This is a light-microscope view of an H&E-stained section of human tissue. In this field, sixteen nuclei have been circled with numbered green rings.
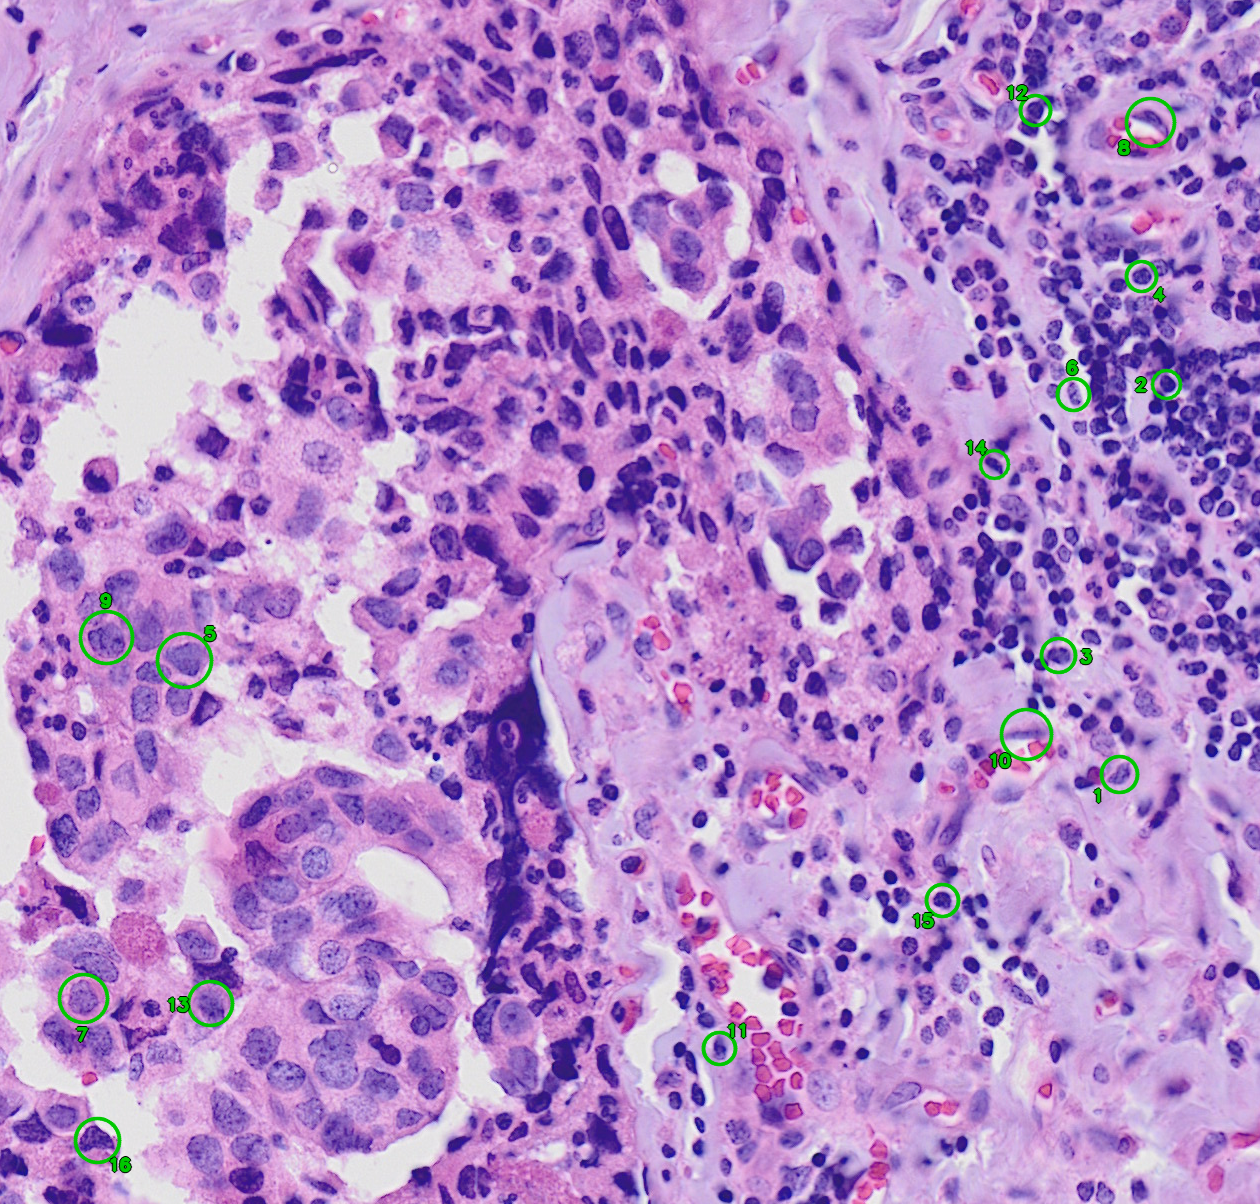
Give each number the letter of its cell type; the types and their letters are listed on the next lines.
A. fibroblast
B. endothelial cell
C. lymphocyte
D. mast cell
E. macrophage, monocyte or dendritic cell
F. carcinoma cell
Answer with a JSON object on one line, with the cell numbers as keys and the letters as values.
{"1": "C", "2": "C", "3": "C", "4": "C", "5": "F", "6": "C", "7": "F", "8": "B", "9": "F", "10": "B", "11": "C", "12": "C", "13": "F", "14": "C", "15": "C", "16": "F"}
